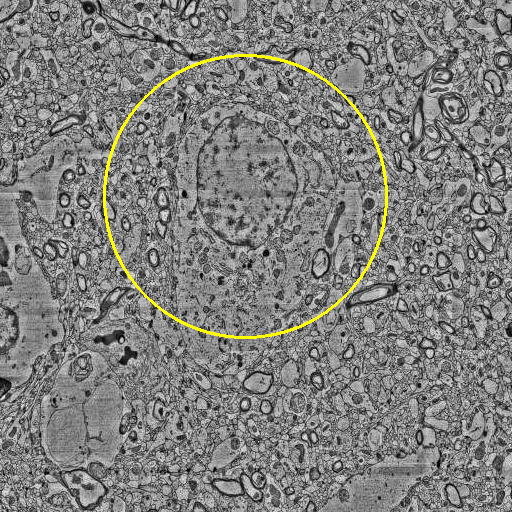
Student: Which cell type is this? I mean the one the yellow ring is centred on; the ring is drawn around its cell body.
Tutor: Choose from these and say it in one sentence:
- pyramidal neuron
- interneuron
The cell the ring is centred on is a pyramidal neuron.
